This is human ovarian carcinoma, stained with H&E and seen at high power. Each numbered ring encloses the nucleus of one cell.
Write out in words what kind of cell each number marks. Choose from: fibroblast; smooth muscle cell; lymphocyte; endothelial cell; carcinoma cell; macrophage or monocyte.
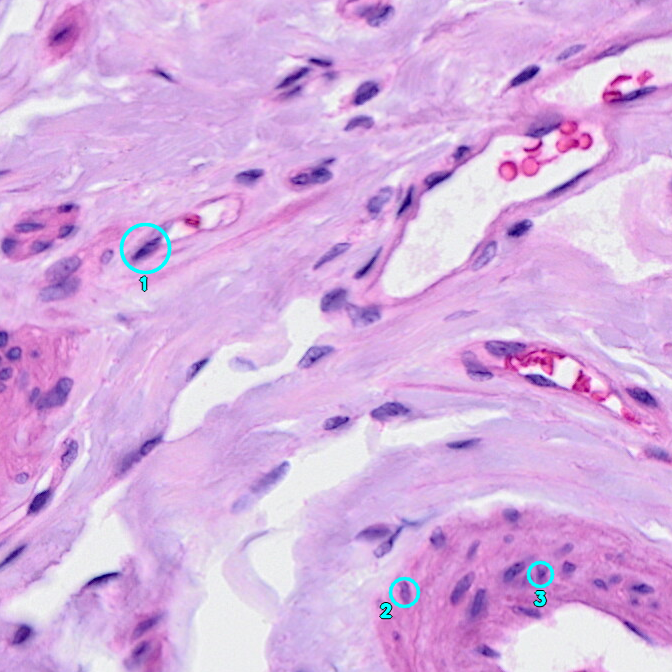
Cell 1 is an endothelial cell, cell 2 is a smooth muscle cell and cell 3 is a smooth muscle cell.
